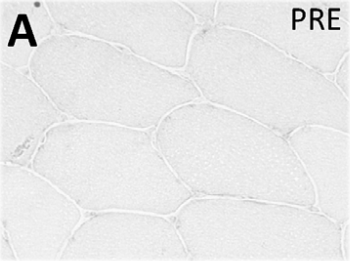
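Large rounded-polygonal profiles lie tightly against one another, outlined by thin pale lines of connective tissue, with a faintly stippled, very light grey interior. Little stain distinguishes one profile from the next. These are skeletal myofibers cut in cross-section, staining only weakly.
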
